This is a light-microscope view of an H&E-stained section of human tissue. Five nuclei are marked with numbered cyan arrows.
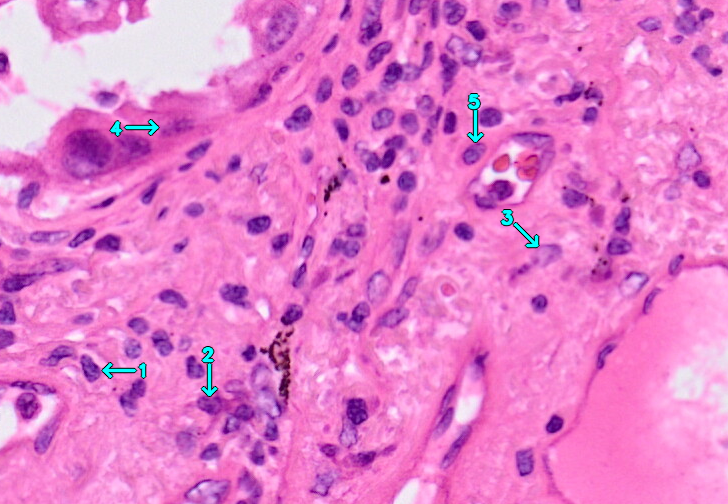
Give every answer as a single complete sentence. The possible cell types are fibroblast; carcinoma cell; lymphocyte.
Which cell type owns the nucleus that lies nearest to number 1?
The cell nearest to number 1 is a lymphocyte.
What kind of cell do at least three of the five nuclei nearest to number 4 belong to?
The majority of the five nuclei closest to number 4 belong to lymphocytes.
